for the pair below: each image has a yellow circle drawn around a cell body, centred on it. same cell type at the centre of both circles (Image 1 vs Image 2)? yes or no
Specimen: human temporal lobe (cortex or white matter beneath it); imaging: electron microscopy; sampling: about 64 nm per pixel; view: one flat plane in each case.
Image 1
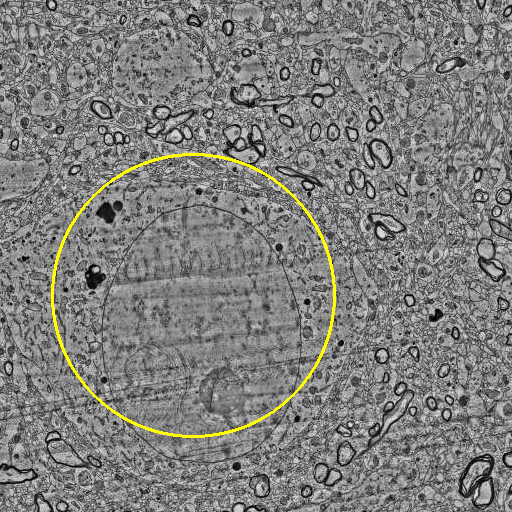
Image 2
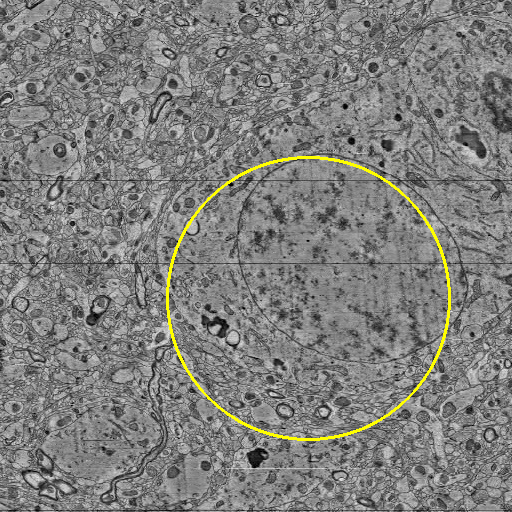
yes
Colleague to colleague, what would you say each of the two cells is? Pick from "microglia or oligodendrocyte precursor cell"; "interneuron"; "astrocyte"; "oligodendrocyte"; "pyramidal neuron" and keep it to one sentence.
Each cell, in the first picture and the second, is a pyramidal neuron.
